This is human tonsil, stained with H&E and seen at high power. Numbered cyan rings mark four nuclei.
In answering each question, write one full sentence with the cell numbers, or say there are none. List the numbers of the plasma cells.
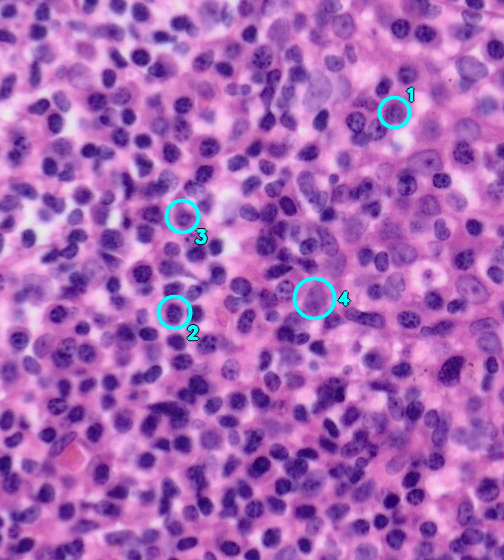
Into the category of plasma cells fall the cells numbered 1, 2 and 3.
